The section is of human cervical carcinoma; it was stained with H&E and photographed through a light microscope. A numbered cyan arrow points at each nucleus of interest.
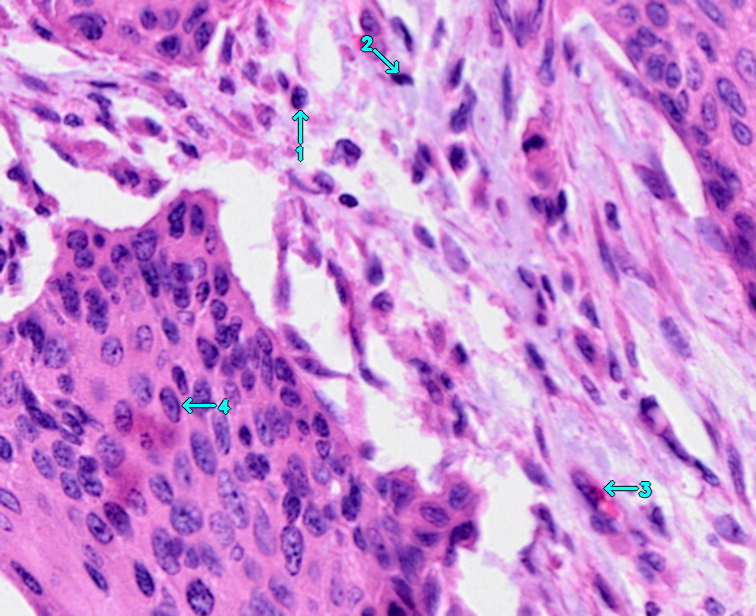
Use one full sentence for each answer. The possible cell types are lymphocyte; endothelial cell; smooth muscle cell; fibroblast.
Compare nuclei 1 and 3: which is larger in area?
The larger nucleus is 3, at roughly 1.5 times the area of 1.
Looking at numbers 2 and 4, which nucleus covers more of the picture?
Nucleus 4 is the larger one, covering about 2 times the area of nucleus 2.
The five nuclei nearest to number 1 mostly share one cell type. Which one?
Fibroblasts account for more than half of the five nuclei nearest to number 1.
